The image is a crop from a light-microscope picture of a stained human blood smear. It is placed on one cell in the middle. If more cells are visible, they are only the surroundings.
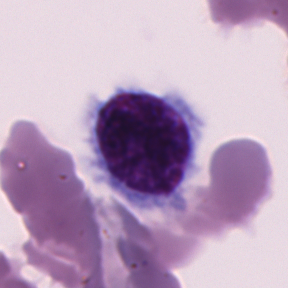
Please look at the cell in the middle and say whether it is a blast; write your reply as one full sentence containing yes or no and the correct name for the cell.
No, a hairy cell, not a blast, is what sits in the centre of the crop.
